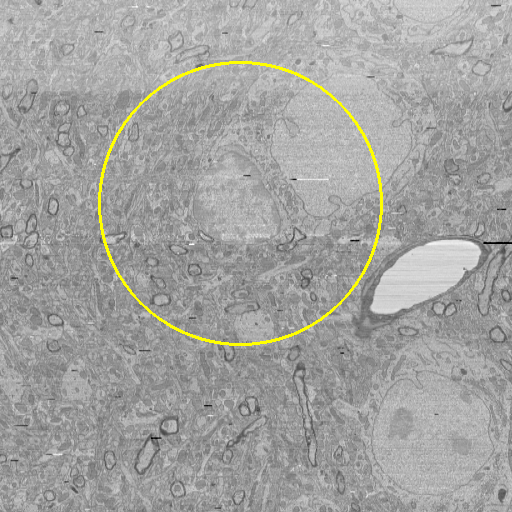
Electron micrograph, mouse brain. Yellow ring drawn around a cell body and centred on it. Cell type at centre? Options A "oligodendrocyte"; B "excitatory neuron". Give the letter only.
A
